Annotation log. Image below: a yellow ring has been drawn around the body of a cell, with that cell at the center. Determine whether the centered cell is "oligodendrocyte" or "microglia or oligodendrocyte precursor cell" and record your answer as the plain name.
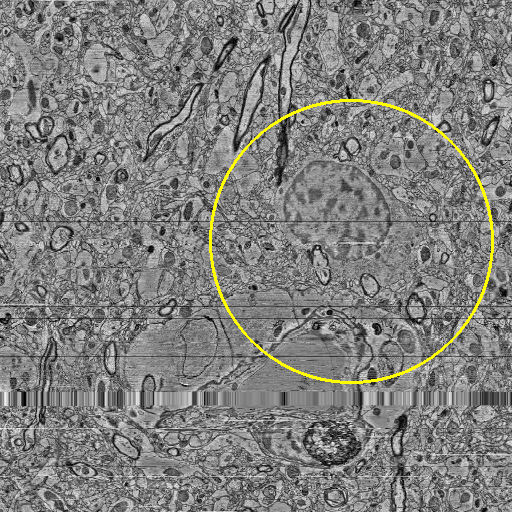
oligodendrocyte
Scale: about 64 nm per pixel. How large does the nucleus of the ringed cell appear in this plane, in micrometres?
Roughly 7 micrometres across for the nucleus, in this plane.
